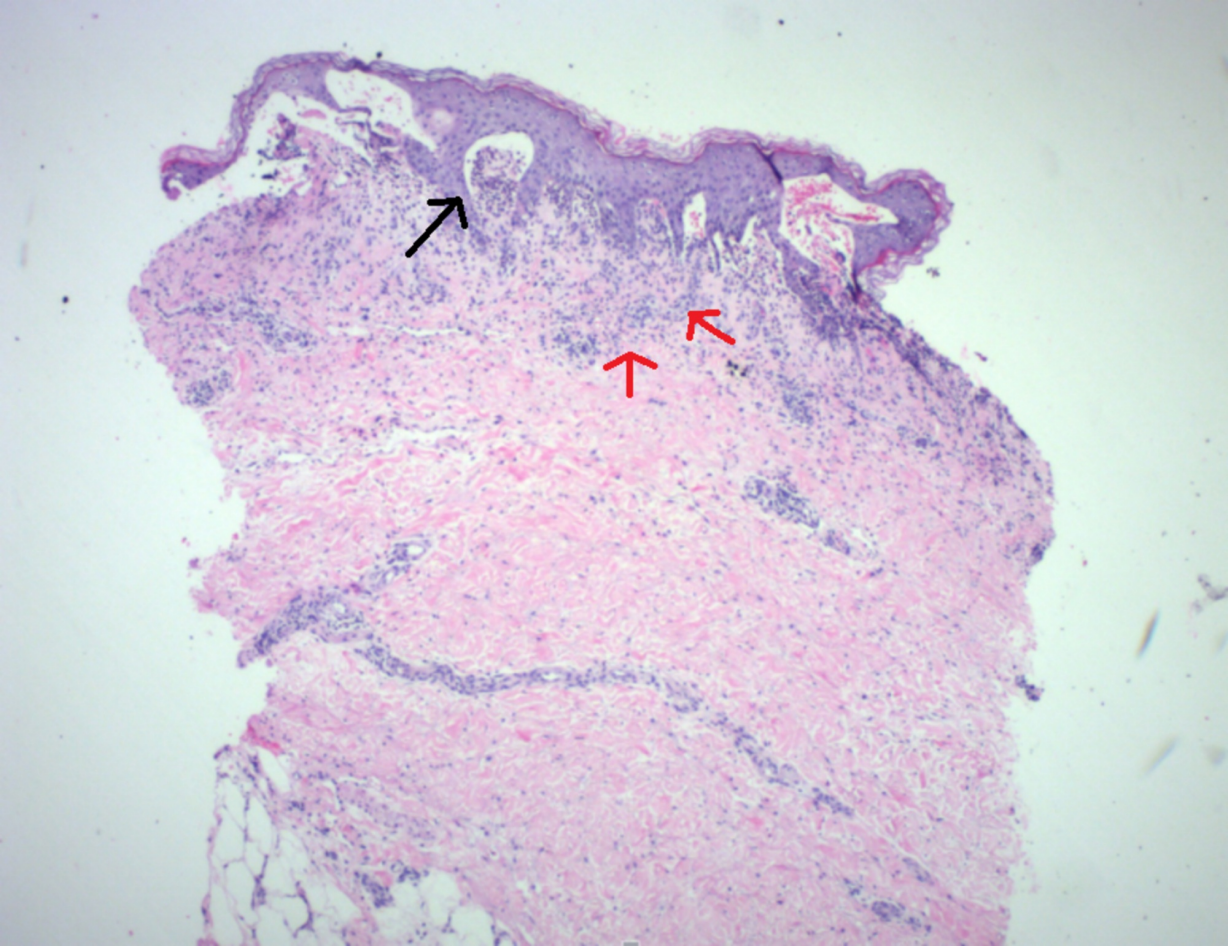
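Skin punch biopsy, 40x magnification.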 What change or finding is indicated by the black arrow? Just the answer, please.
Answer: Subepidermal blister formation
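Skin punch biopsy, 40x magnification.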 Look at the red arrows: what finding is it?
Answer: superficial inflammation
